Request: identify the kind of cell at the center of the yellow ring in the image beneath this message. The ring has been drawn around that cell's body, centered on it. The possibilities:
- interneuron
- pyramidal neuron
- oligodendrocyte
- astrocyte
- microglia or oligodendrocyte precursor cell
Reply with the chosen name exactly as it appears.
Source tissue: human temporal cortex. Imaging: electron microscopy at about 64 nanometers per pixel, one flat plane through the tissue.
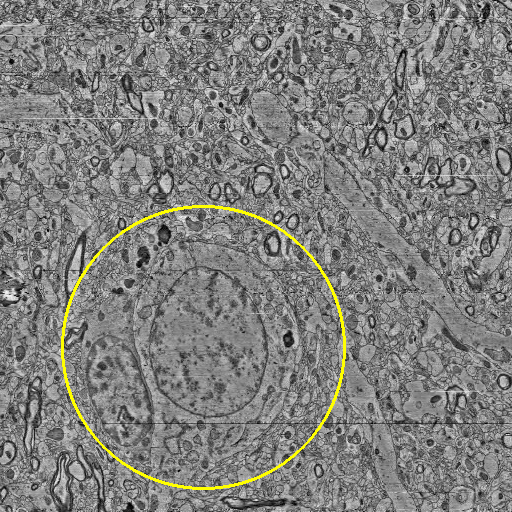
pyramidal neuron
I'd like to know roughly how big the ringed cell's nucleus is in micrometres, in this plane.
The nucleus of the ringed cell is approximately 10 by 8 micrometres in this plane.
